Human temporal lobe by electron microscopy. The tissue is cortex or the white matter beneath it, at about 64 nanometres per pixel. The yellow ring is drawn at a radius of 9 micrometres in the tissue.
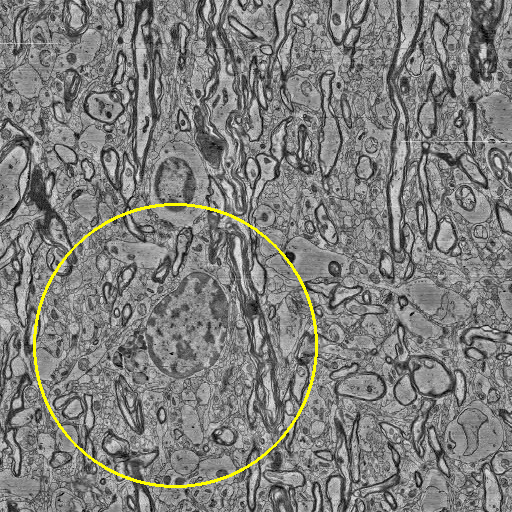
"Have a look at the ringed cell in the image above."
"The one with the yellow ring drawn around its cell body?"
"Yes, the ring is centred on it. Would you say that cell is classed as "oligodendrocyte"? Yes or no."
no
